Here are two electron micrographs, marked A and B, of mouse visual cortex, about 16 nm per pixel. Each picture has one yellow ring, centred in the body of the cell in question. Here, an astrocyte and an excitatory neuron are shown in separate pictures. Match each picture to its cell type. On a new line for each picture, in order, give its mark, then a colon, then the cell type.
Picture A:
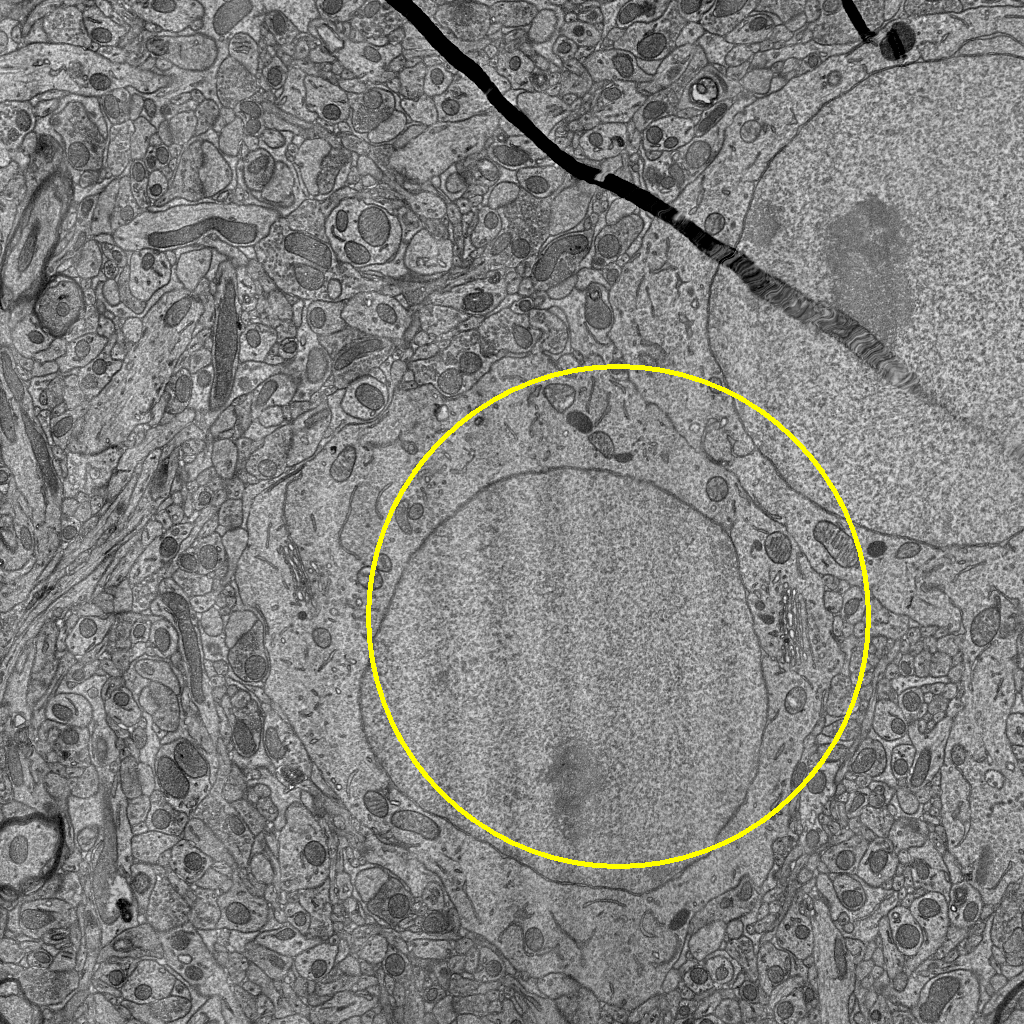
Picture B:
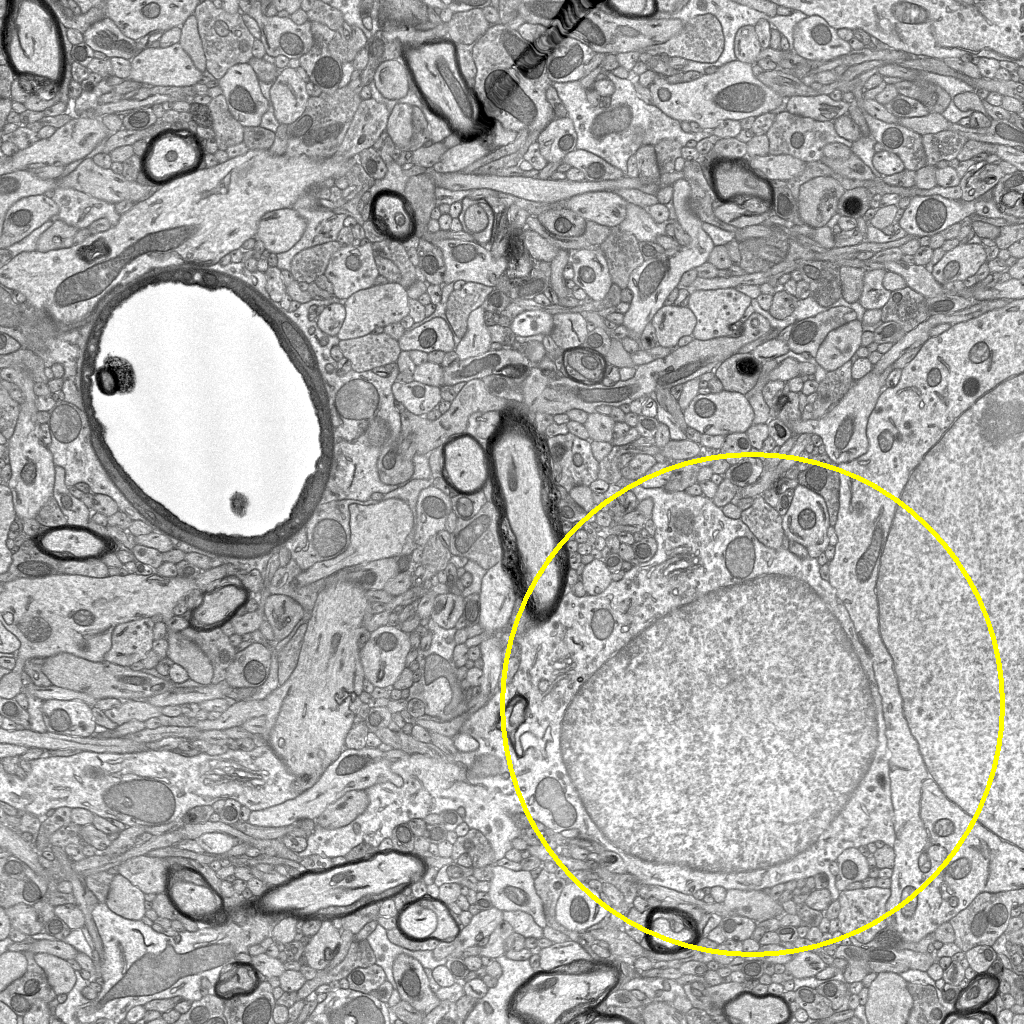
A: excitatory neuron
B: astrocyte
